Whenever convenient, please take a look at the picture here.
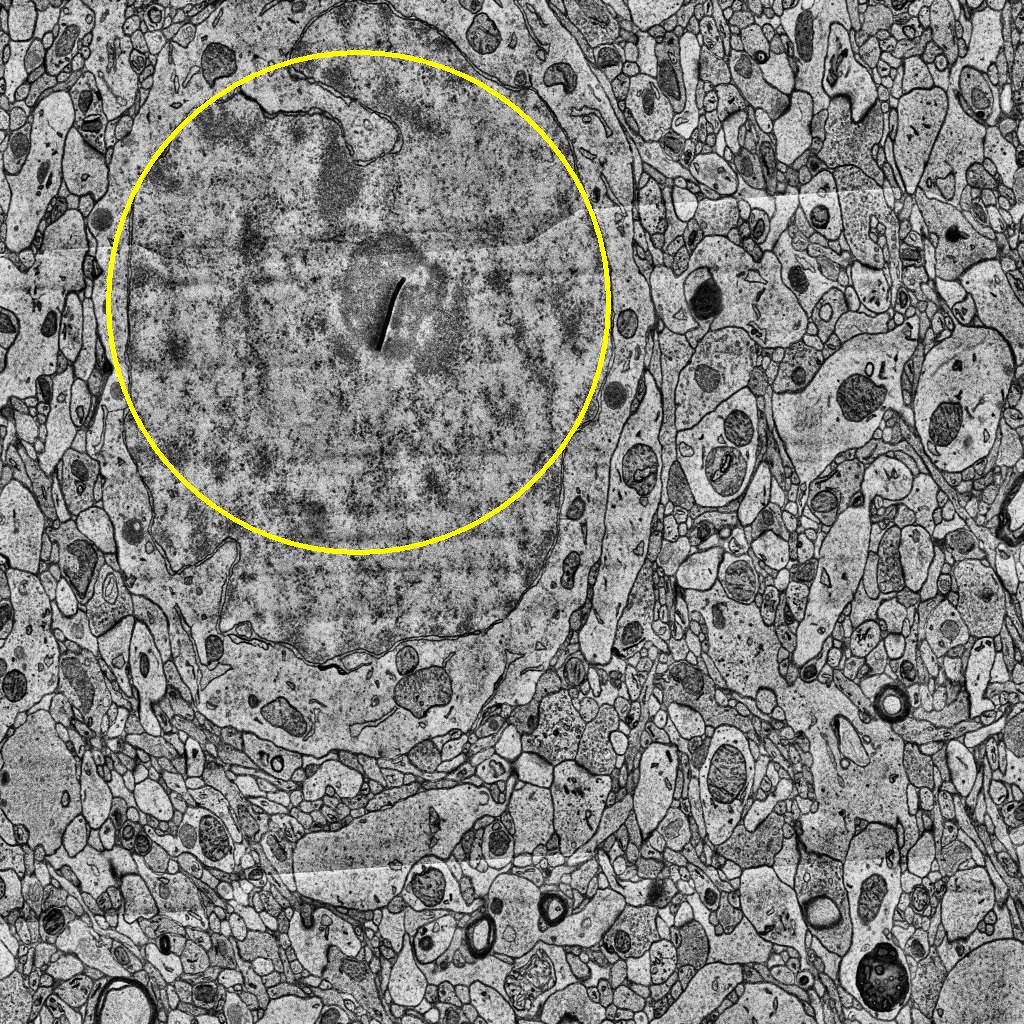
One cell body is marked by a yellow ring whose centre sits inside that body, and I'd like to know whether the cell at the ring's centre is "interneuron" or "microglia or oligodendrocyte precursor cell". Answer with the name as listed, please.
interneuron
